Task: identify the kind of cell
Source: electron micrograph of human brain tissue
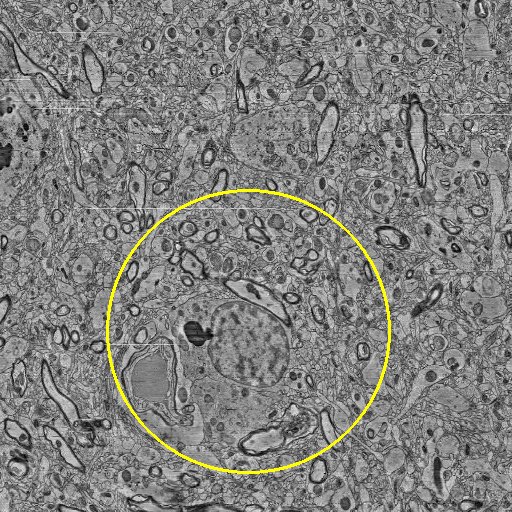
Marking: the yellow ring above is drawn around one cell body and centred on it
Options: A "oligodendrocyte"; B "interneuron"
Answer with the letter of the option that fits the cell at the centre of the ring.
A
